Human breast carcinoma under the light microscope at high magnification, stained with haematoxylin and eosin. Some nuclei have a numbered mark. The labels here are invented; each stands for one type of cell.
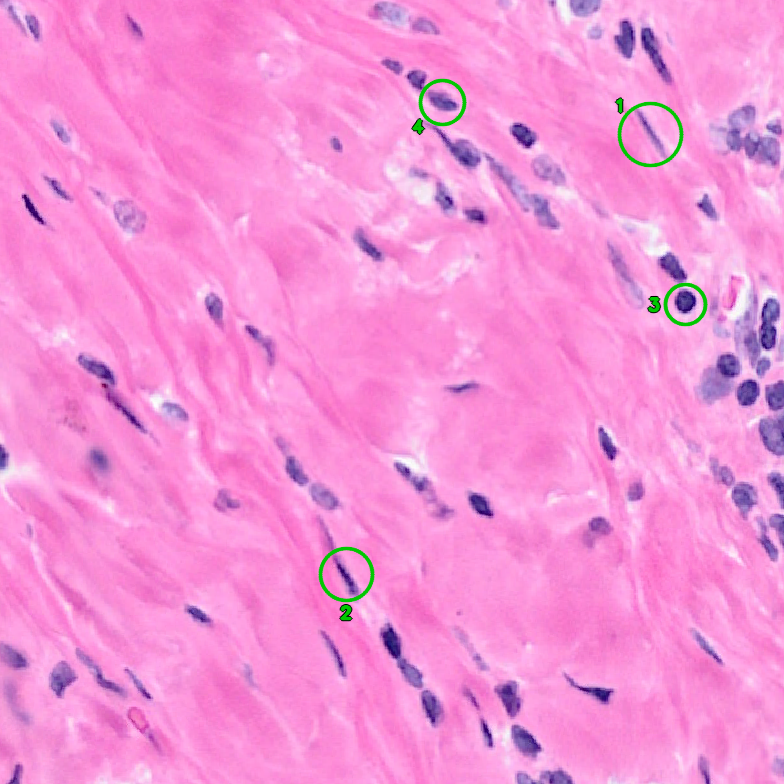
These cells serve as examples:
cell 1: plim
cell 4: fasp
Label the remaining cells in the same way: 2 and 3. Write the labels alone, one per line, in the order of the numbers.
plim
fasp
